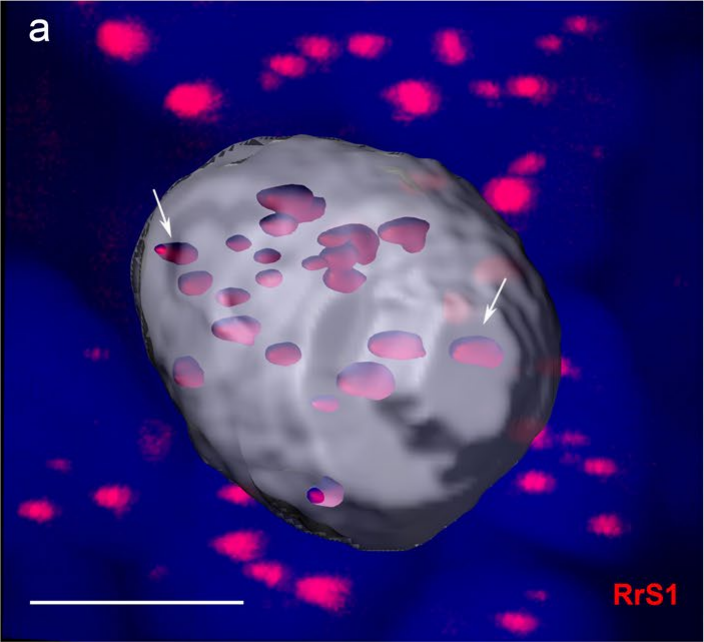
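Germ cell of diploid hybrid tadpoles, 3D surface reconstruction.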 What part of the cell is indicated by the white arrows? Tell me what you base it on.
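The arrows point to small red oval spots within the grey body. Many similar red spots are distributed through the body. So: centromeres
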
